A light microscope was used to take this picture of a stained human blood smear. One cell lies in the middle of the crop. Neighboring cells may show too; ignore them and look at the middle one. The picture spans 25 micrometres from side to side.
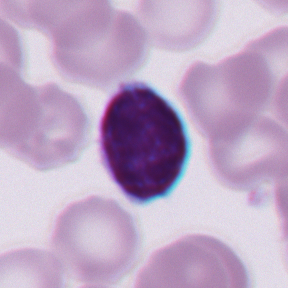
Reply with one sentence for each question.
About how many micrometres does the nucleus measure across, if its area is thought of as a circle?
About 8 micrometres: that is the diameter of the nucleus.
